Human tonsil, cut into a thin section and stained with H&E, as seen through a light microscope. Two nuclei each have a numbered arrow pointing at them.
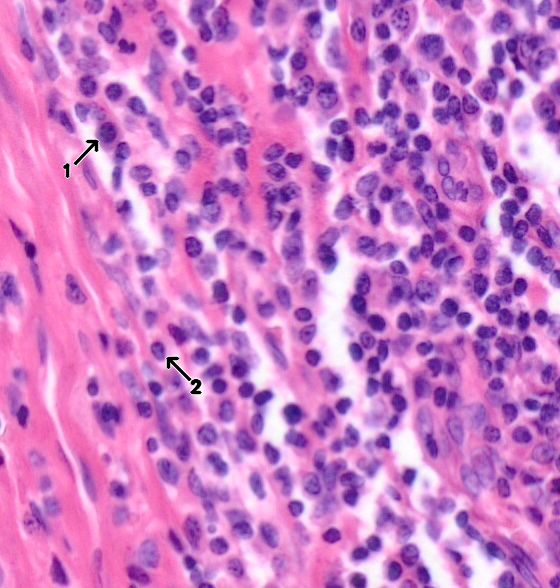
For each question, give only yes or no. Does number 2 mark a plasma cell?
no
